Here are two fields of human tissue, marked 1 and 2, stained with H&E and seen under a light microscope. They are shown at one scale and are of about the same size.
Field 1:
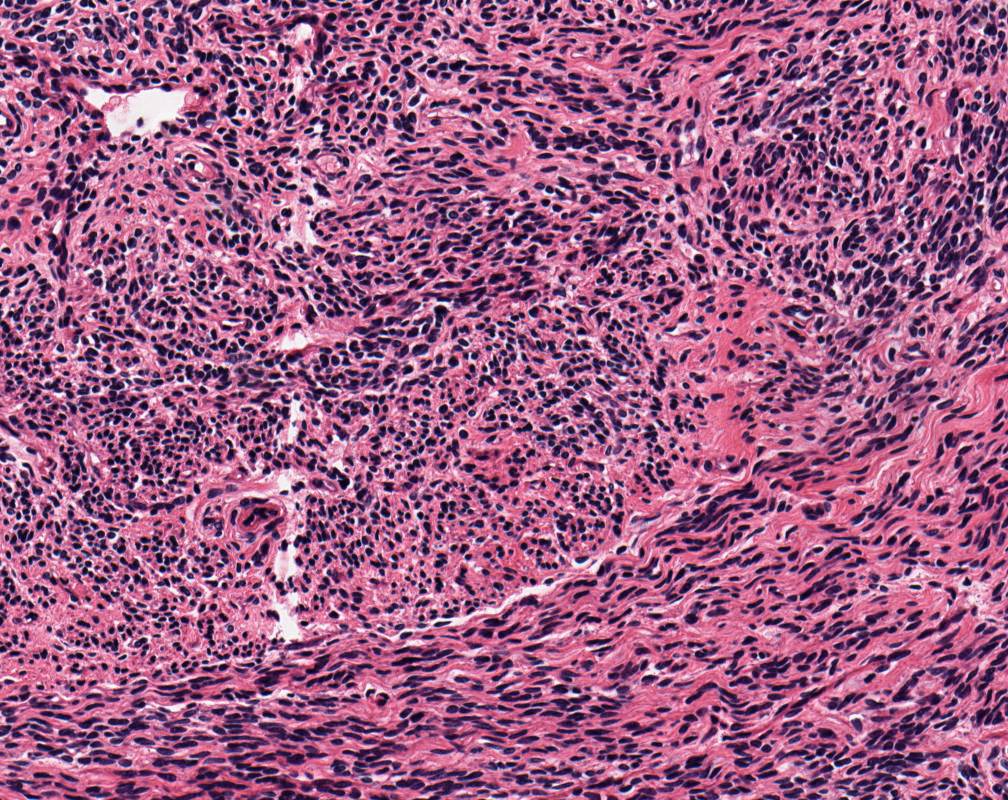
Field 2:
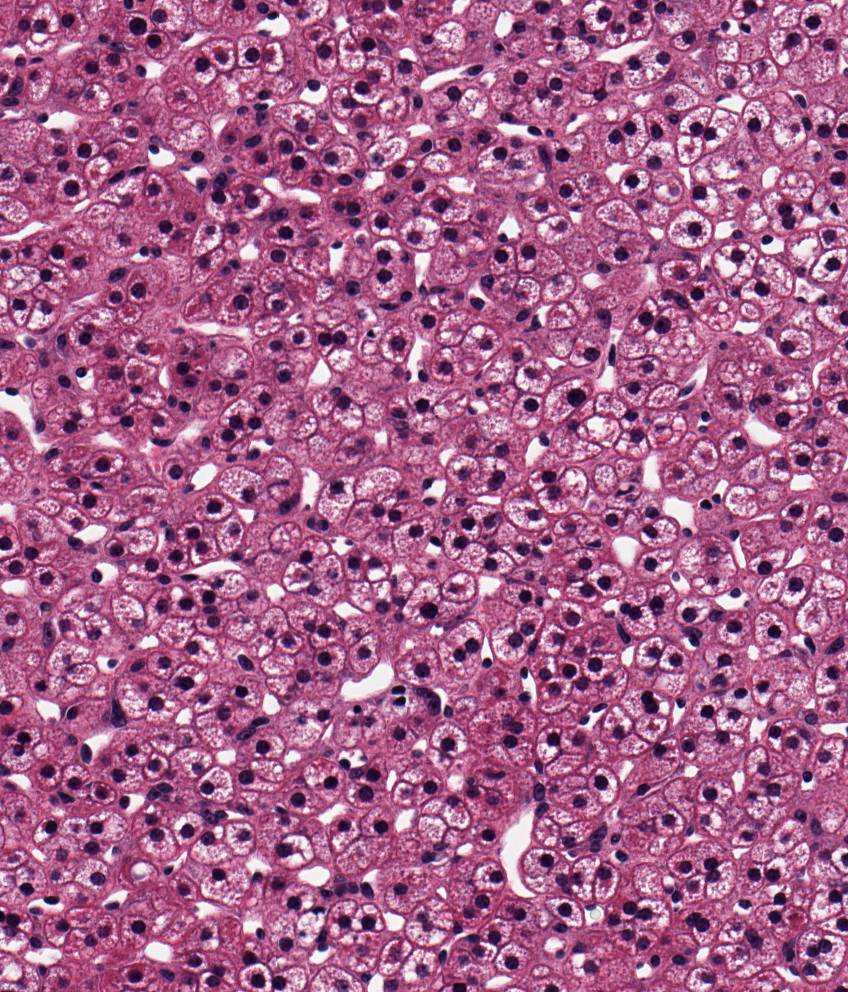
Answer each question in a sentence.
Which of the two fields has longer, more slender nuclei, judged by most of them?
The nuclei are more elongated in field 1.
